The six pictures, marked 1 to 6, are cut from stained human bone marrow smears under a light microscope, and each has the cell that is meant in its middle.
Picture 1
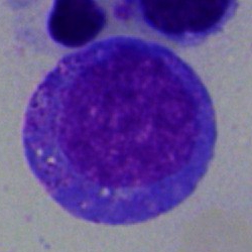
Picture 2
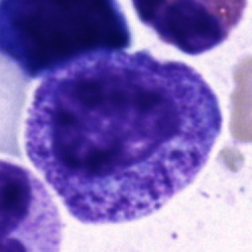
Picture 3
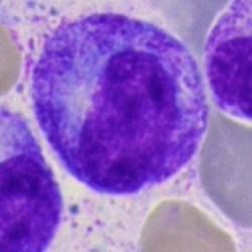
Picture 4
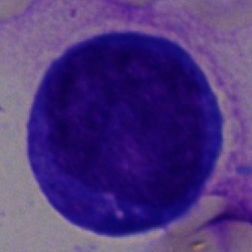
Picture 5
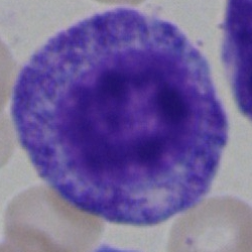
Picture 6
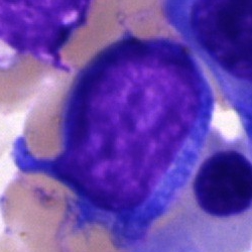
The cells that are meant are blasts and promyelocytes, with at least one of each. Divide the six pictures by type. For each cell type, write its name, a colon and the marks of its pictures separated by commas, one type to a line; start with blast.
blast: 1, 4, 6
promyelocyte: 2, 3, 5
